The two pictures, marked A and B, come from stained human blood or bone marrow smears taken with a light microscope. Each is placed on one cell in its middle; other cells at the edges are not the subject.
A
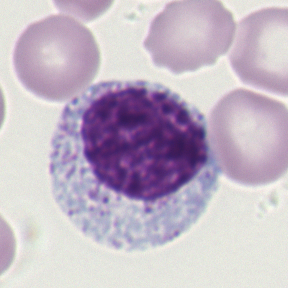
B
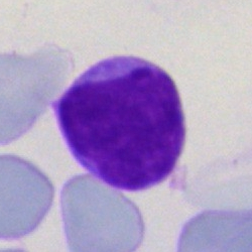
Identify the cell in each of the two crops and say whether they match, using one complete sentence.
No, crop A shows a myelocyte and crop B shows a blast.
